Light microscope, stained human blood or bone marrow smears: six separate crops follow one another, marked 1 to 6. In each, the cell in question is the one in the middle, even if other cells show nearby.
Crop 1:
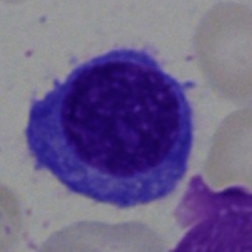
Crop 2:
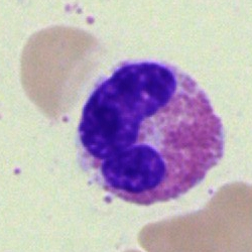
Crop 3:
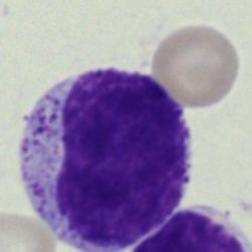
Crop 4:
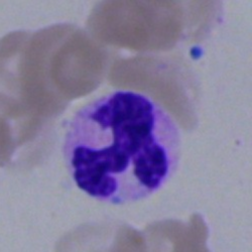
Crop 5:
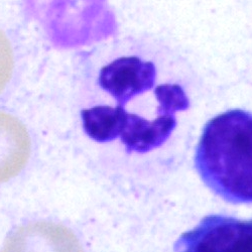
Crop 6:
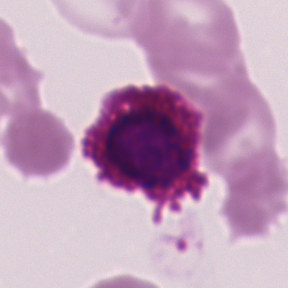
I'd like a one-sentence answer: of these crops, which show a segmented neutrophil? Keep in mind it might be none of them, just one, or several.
As for crops 4 and 5, they show segmented neutrophils.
